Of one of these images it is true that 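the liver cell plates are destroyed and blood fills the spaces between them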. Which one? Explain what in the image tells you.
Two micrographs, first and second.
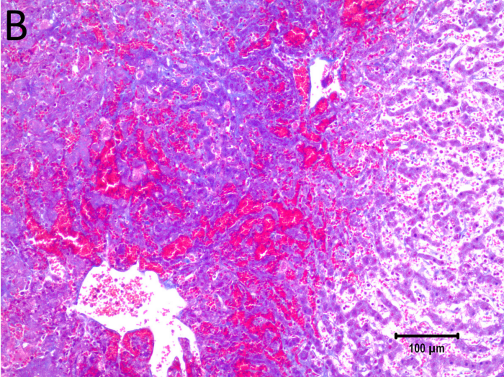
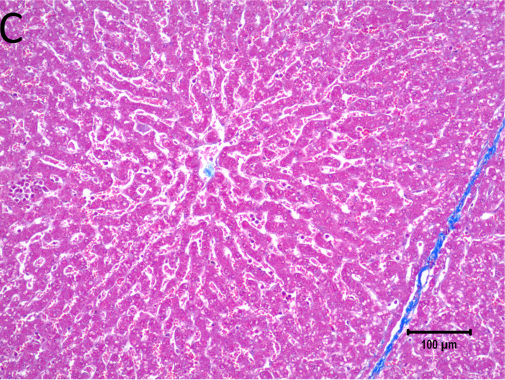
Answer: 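Second image: orderly pink cell plates radiate from a central vessel with open sinusoids. First image: plates are lost in a purplish-blue mass with large bright red pools of blood.
The first image.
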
